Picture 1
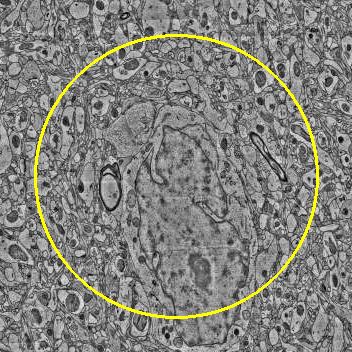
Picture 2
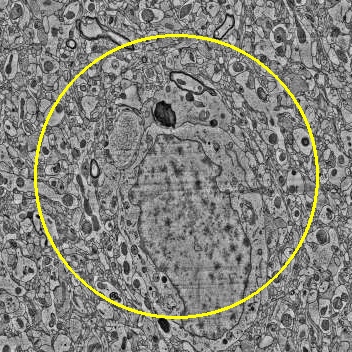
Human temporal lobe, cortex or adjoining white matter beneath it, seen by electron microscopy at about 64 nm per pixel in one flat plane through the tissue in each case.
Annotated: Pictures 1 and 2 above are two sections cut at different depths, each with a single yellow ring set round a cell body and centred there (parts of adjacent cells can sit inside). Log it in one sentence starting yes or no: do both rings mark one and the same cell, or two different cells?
Yes, a single cell is the subject of both yellow rings.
